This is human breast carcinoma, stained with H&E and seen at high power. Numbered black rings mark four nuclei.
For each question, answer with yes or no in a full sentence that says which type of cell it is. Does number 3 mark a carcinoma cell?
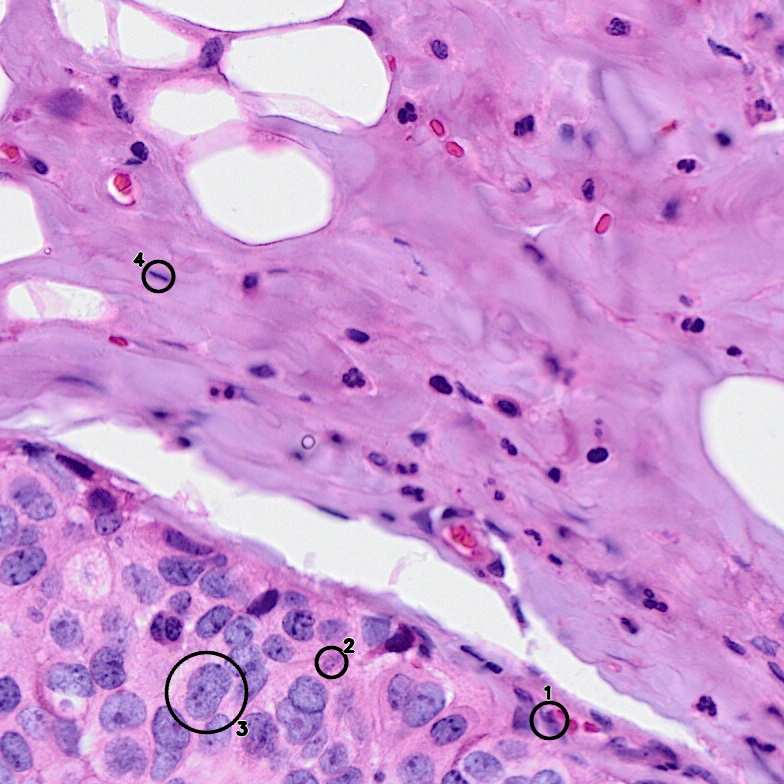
Yes, that is so; number 3 marks a carcinoma cell.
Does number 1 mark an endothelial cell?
Yes, exactly, the cell numbered 1 is an endothelial cell.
